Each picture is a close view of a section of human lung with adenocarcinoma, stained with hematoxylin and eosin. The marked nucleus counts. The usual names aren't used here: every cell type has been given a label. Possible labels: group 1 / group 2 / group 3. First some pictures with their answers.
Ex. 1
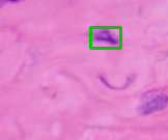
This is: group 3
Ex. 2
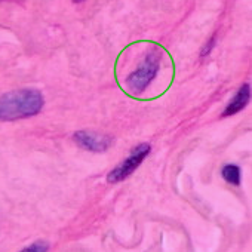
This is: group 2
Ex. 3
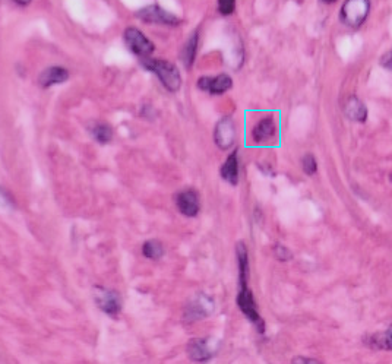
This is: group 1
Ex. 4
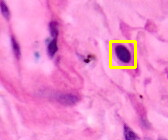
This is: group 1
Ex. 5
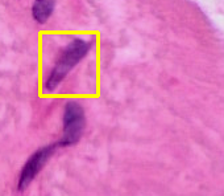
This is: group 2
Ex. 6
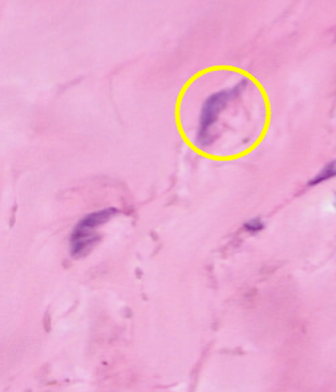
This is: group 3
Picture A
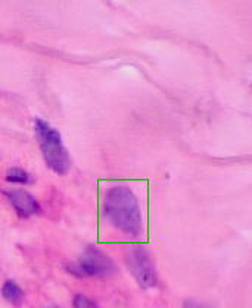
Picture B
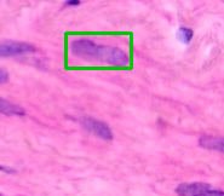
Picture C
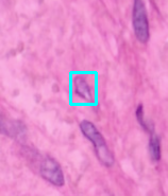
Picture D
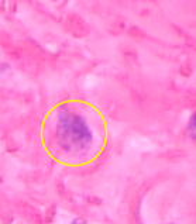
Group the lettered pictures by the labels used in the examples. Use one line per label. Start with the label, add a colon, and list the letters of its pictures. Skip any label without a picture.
group 2: B, C
group 3: A, D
